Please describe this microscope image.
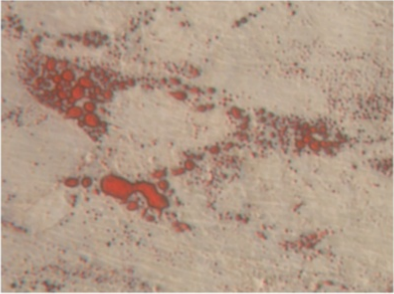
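The droplets vary widely in size, from fine dots to large spheres, and some larger ones lie together as if merging. They gather in irregular clusters and streaks that follow the outlines of the flattened cells. Between the clusters the pale, unstained background shows only the faint outlines of the cell layer.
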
